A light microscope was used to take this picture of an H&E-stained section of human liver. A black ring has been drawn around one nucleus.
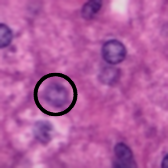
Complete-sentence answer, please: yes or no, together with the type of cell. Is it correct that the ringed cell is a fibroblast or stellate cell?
No, the ringed cell is reported as a hepatocyte rather than a fibroblast or stellate cell.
